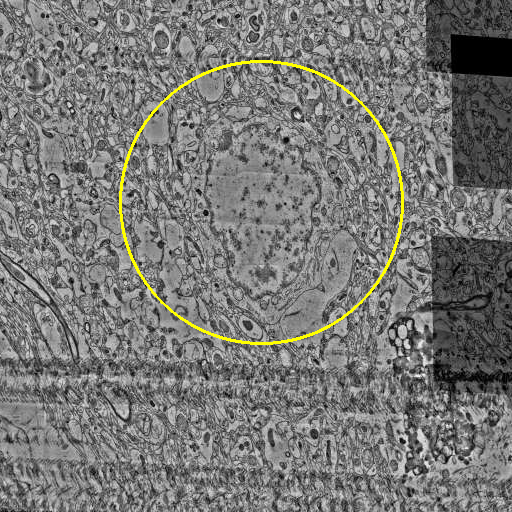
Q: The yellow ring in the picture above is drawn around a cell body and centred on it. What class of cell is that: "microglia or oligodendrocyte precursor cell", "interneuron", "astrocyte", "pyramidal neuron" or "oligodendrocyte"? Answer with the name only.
interneuron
